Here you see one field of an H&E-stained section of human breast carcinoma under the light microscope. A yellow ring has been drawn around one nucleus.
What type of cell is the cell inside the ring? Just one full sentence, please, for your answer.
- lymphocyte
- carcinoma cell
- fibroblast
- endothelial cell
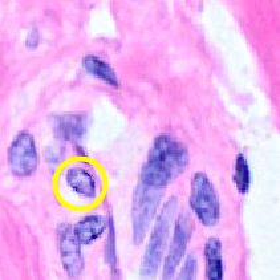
With respect to cell type, the cell inside the ring is an endothelial cell.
